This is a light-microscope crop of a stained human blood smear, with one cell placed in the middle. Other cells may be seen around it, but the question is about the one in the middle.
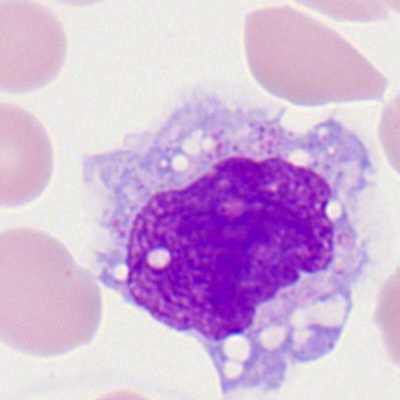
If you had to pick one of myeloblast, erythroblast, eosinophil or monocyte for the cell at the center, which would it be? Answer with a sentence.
At the middle of the frame sits a monocyte.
